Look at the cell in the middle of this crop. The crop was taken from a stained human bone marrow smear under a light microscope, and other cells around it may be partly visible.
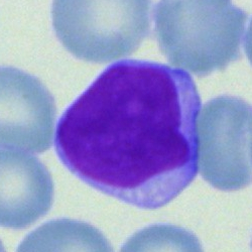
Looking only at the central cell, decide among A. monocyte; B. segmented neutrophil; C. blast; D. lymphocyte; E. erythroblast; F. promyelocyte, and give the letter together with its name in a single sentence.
Option D is the right one, for the cell in the middle is a lymphocyte.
